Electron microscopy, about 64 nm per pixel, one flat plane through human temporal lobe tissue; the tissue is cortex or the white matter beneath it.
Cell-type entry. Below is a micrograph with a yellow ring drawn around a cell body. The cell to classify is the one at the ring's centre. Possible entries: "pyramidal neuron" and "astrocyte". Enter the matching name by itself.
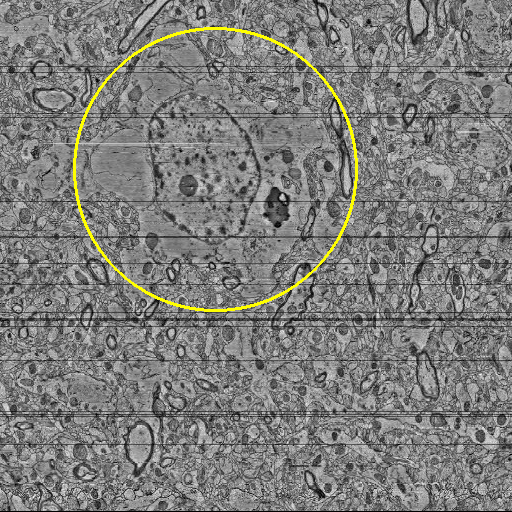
astrocyte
